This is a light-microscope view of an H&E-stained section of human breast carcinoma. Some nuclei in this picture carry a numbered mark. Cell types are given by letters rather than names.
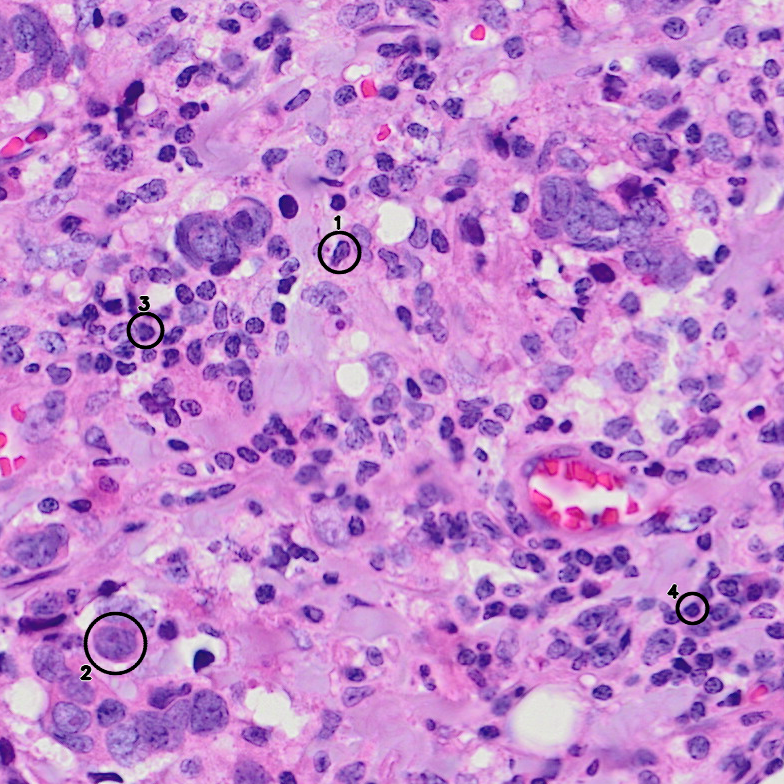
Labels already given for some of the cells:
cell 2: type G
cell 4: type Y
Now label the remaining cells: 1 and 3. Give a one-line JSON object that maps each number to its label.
{"1": "type Y", "3": "type Y"}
